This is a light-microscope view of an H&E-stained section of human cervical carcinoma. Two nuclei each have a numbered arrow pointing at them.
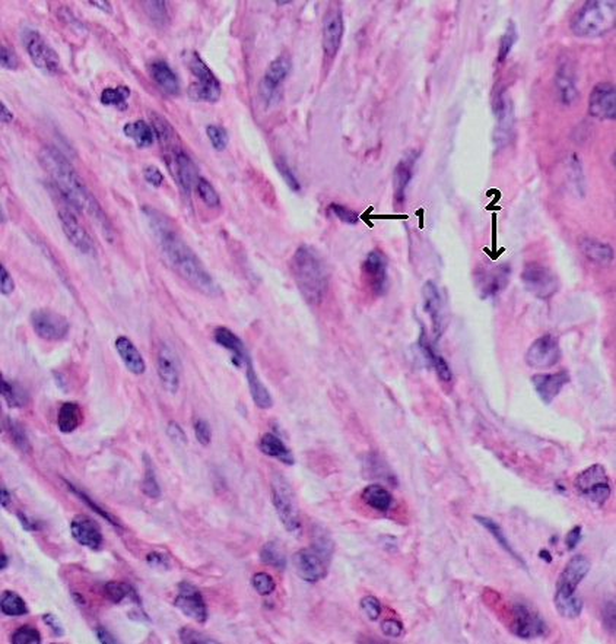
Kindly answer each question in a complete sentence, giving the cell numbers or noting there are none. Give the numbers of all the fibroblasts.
Of all the cells bearing numbers, cell 2 is the only one that is a fibroblast.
